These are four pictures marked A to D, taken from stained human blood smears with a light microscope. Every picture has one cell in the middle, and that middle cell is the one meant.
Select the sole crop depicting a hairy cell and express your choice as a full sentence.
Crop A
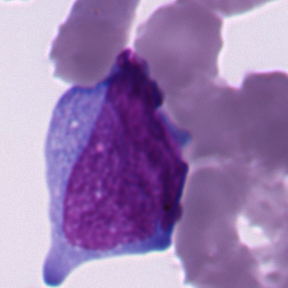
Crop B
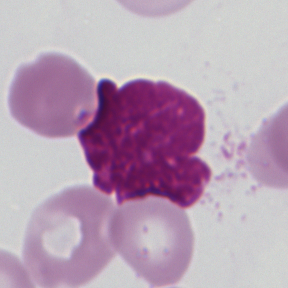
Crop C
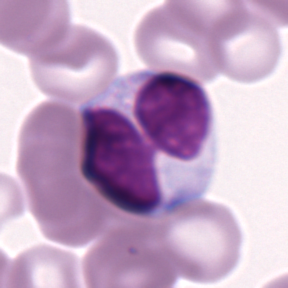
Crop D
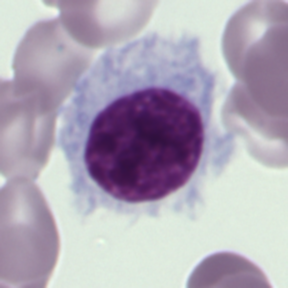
In the set of crops, crop D is the one that contains a hairy cell.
